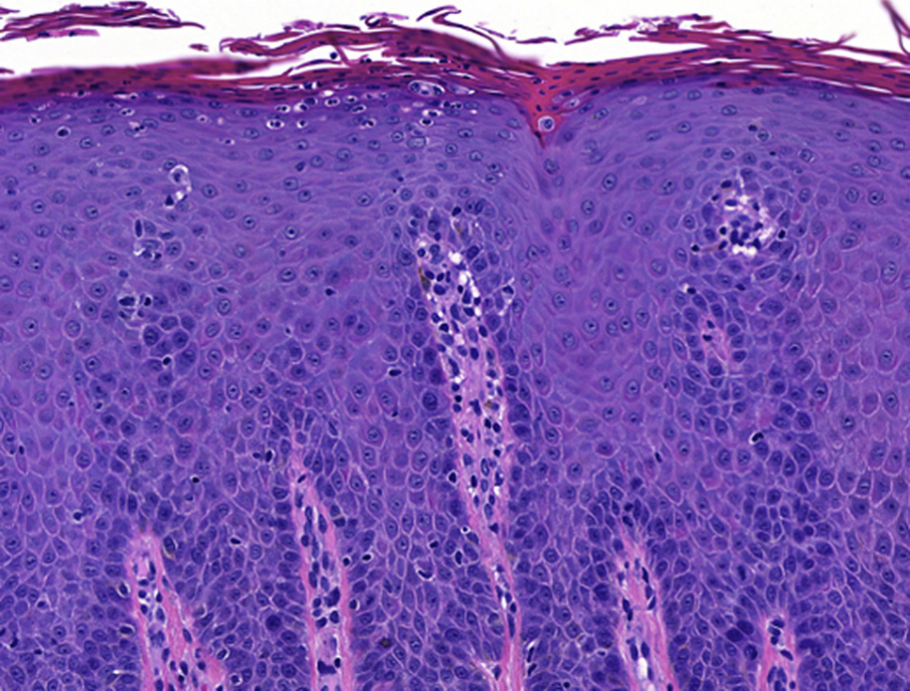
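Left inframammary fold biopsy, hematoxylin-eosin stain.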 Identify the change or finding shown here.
Psoriasiform hyperplasia.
